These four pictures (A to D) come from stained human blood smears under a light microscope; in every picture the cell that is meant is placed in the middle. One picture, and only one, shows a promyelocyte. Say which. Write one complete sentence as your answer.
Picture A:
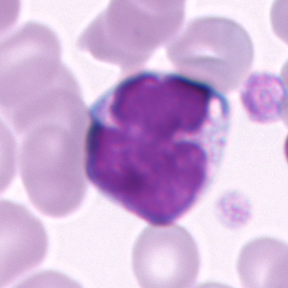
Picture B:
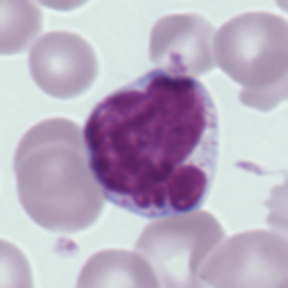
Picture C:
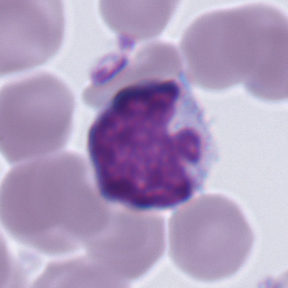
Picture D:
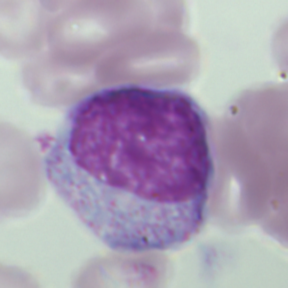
The picture with the promyelocyte is D.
